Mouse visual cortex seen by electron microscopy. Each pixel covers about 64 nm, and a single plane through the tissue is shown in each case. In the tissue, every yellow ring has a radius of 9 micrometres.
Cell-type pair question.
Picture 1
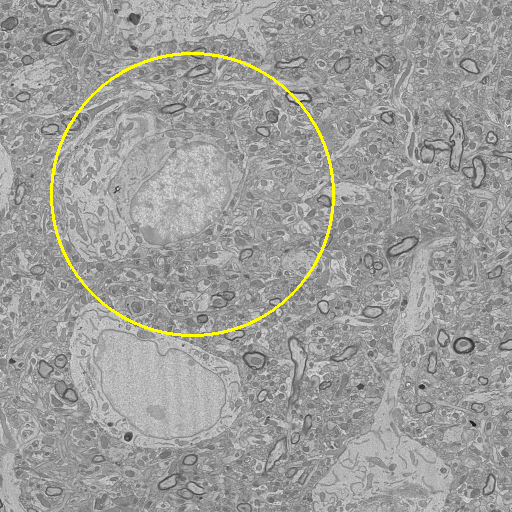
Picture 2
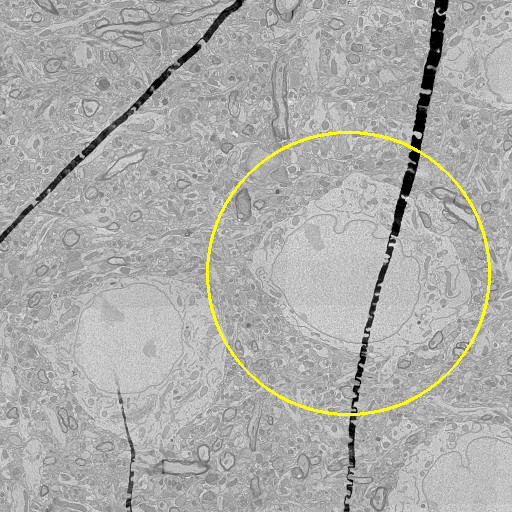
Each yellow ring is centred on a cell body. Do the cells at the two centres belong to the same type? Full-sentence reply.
No, the two cells belong to two types.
